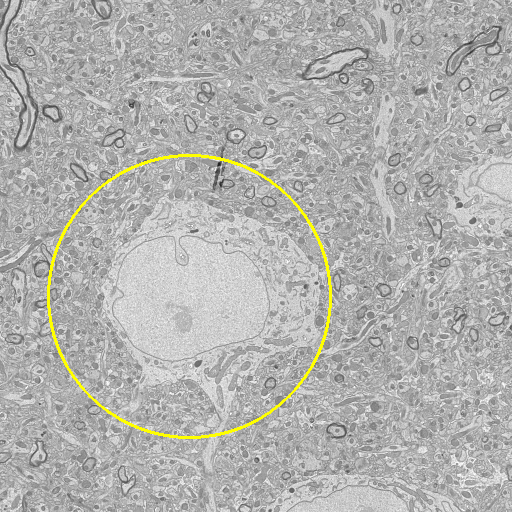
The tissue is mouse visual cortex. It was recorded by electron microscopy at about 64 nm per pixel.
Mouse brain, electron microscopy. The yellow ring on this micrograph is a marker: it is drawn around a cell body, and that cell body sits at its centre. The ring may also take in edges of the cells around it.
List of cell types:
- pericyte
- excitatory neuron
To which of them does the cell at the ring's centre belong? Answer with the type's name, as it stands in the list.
excitatory neuron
